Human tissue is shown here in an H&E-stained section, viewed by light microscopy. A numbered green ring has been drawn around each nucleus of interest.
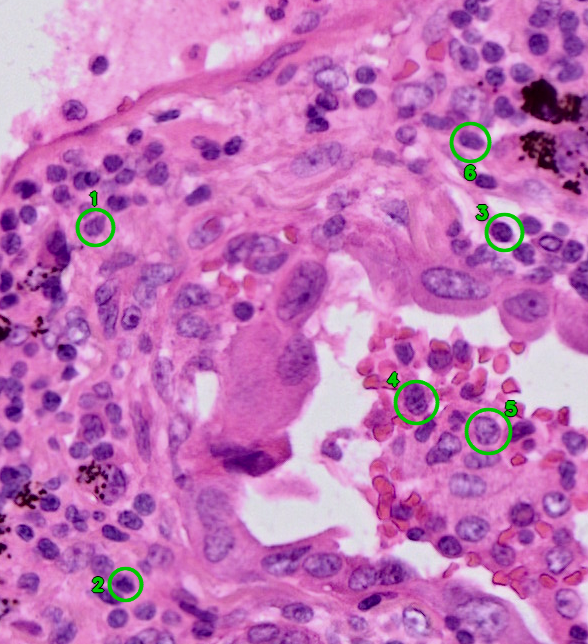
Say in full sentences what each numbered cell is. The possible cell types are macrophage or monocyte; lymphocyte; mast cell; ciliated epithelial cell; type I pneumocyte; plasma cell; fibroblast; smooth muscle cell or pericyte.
Cells 1, 2, 3 and 6 are lymphocytes. Cells 4 and 5 are macrophages or monocytes.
